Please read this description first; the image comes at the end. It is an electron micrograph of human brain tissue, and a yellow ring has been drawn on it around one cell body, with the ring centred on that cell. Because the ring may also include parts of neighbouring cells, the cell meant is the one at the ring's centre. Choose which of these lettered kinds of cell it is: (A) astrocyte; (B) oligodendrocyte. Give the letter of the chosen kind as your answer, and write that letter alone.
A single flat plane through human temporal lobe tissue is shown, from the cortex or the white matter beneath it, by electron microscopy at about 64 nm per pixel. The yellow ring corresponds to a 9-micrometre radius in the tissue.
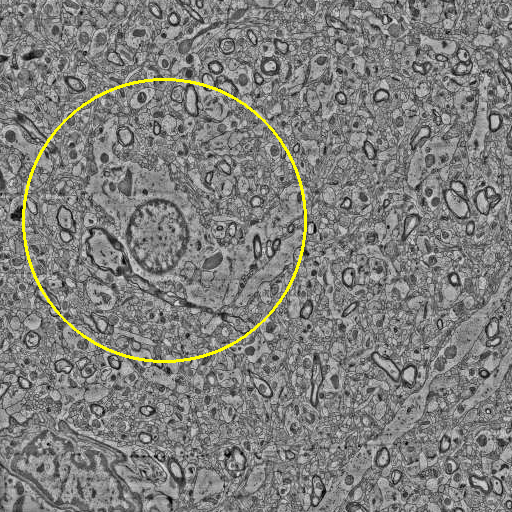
A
